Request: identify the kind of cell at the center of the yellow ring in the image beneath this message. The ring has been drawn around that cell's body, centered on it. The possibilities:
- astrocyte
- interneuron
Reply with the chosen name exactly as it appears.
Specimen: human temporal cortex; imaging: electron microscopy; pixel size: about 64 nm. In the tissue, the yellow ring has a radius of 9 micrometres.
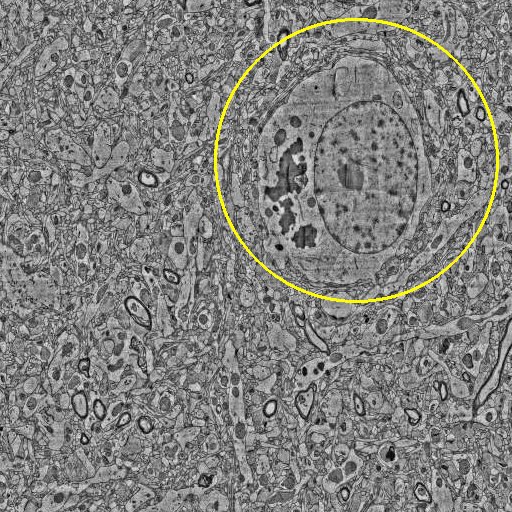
astrocyte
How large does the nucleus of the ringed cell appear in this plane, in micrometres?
In this plane, about 10 by 7 micrometres: the nucleus is clearly longer than it is wide.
